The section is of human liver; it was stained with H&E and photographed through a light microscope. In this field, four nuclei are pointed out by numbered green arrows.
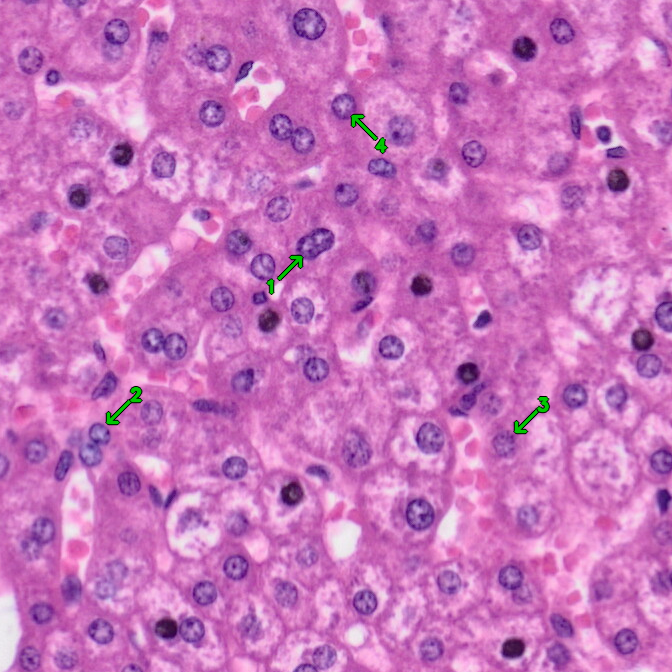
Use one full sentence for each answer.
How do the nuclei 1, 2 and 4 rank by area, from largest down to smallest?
The nuclei rank 1, 4, 2, from largest to smallest.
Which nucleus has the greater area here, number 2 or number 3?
Nucleus 3 is larger, with an area about 1.5 times that of nucleus 2.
